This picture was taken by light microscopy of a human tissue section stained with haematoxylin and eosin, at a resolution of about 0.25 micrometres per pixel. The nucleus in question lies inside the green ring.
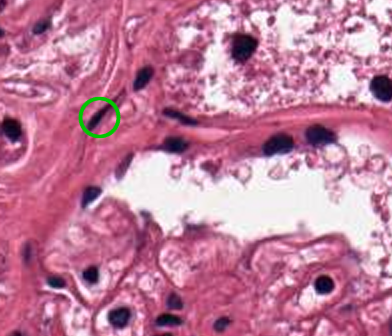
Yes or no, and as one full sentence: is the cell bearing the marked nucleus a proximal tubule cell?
No, the marked nucleus is not that of a proximal tubule cell but that of a supporting cell.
